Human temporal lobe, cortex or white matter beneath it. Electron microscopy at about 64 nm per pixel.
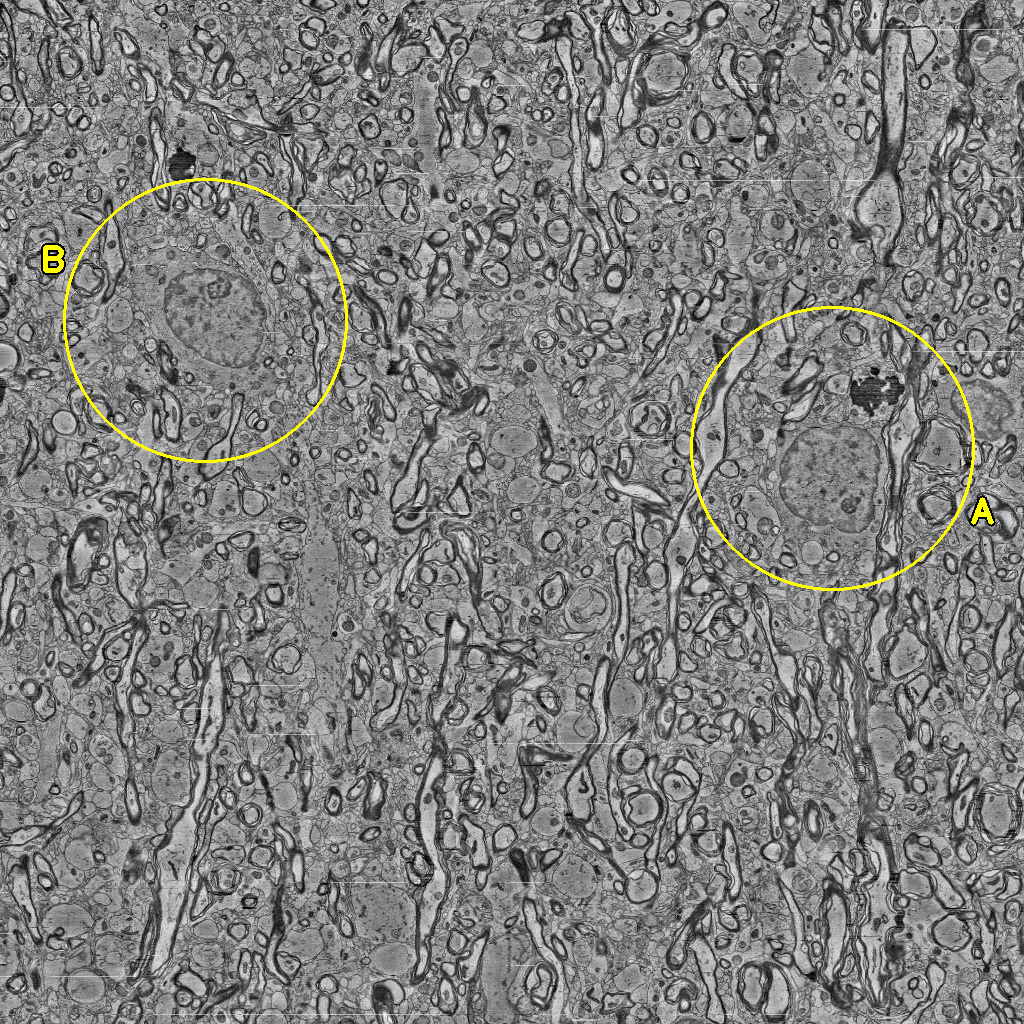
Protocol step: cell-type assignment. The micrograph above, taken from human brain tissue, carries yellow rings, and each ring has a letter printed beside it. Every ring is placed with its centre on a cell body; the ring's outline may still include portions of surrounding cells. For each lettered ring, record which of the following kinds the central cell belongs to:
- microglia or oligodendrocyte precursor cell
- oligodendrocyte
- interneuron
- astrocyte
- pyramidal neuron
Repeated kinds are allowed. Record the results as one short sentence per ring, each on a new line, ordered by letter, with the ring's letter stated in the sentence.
In ring A, the central cell is an oligodendrocyte.
In ring B, the central cell is an oligodendrocyte.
